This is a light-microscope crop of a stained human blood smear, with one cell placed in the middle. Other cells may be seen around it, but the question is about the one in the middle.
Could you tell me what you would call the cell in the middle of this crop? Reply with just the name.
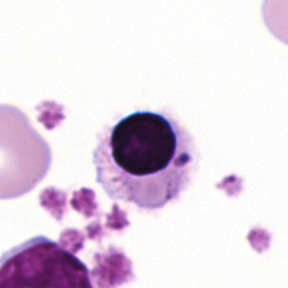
normoblast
